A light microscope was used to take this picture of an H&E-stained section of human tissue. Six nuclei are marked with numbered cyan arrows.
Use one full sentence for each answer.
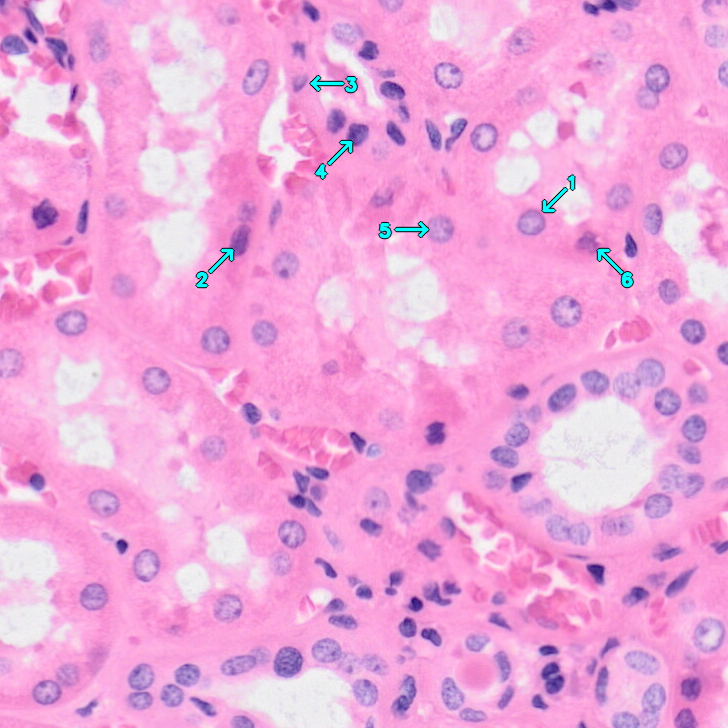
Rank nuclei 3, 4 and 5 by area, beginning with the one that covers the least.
Smallest first, the nuclei run 3, 4, 5.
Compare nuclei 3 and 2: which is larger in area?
Number 2 is larger; its area is about 2.5 times that of number 3.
